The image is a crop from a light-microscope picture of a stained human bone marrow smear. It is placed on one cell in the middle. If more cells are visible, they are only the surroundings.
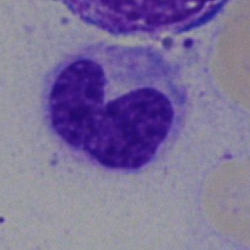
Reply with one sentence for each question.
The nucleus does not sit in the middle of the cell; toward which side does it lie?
Toward the lower left of the cell lies its nucleus.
